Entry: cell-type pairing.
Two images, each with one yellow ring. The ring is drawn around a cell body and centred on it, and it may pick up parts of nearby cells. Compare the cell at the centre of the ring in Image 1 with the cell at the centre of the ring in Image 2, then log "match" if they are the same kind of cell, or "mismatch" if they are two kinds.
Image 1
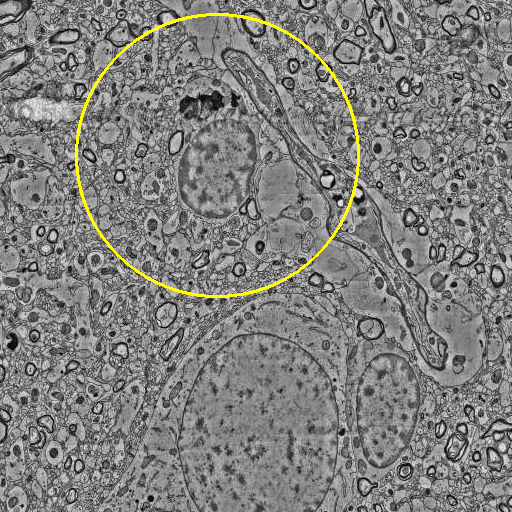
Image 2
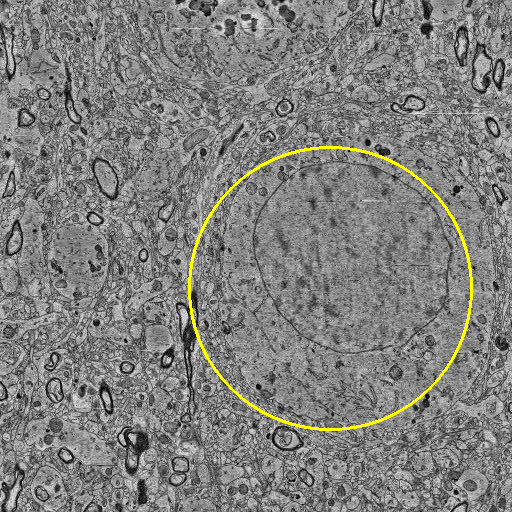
mismatch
